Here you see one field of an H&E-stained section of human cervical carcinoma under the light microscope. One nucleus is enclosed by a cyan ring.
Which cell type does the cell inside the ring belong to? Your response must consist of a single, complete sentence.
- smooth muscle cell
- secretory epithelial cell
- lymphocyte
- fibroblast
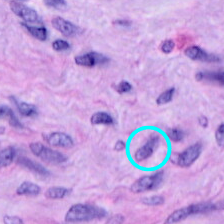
In the context of this tissue, the cell inside the ring is a smooth muscle cell.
